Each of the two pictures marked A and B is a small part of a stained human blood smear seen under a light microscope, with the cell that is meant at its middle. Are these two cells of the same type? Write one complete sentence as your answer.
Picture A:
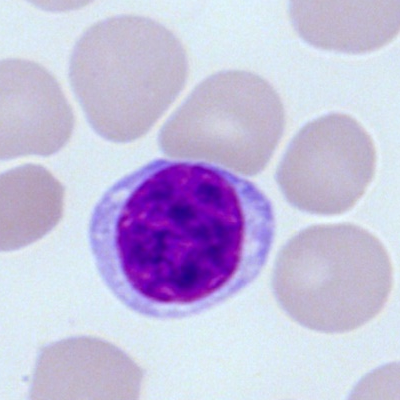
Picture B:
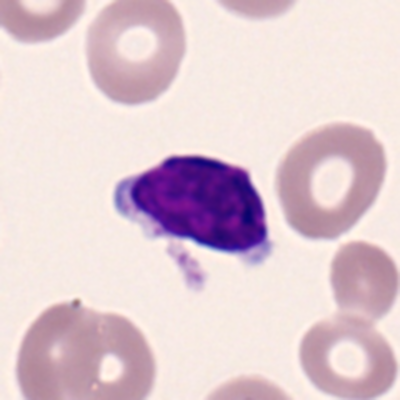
Yes, both are lymphocytes.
